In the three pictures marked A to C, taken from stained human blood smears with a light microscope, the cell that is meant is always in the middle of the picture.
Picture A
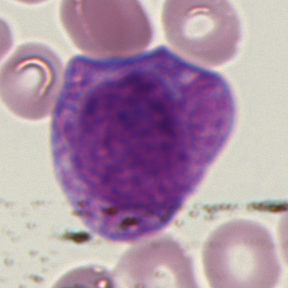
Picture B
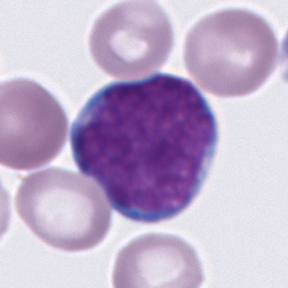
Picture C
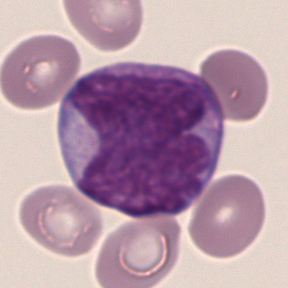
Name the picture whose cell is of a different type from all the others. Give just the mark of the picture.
B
